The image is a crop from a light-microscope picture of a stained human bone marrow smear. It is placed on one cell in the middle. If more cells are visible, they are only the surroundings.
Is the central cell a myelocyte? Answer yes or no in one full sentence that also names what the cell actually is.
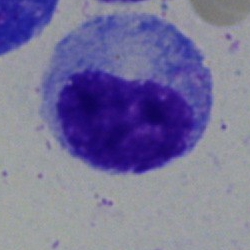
Yes, the middle cell is properly termed a myelocyte.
